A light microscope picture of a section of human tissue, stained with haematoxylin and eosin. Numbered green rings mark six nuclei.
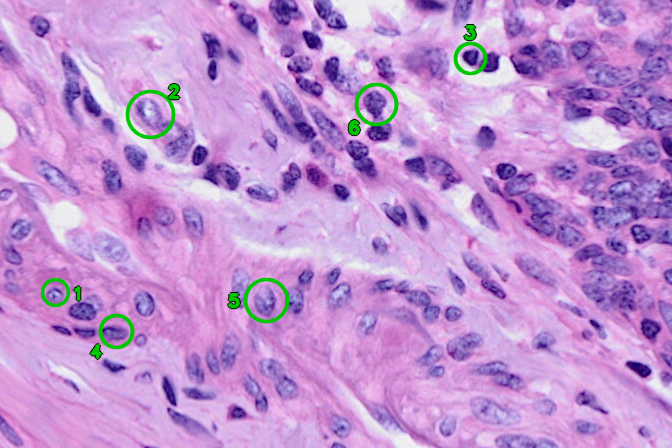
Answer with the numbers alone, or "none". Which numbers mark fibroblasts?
none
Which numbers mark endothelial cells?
2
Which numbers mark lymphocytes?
3, 6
